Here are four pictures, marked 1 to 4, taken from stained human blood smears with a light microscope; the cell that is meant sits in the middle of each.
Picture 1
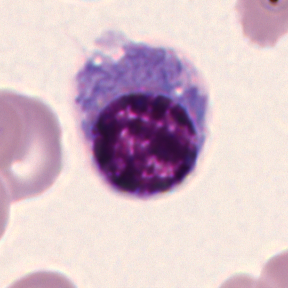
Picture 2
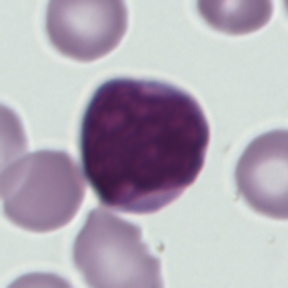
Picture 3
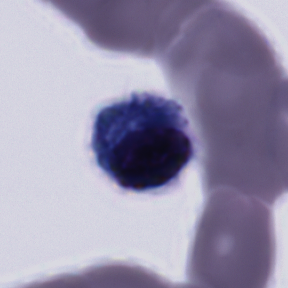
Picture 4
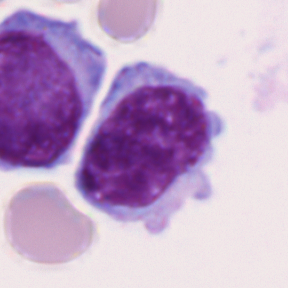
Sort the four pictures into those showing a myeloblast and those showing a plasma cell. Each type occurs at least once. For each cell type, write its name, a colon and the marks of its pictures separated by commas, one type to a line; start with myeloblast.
myeloblast: 2
plasma cell: 1, 3, 4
